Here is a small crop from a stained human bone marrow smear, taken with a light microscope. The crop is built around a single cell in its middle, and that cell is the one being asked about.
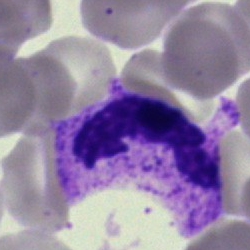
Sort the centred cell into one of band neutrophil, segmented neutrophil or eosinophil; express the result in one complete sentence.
This particular crop is centered on a segmented neutrophil.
